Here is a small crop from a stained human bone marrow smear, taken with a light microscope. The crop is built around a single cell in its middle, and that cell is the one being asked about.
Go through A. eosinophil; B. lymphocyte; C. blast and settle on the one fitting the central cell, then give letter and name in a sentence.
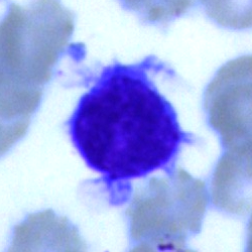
The correct option here is B; the middle cell is a lymphocyte.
